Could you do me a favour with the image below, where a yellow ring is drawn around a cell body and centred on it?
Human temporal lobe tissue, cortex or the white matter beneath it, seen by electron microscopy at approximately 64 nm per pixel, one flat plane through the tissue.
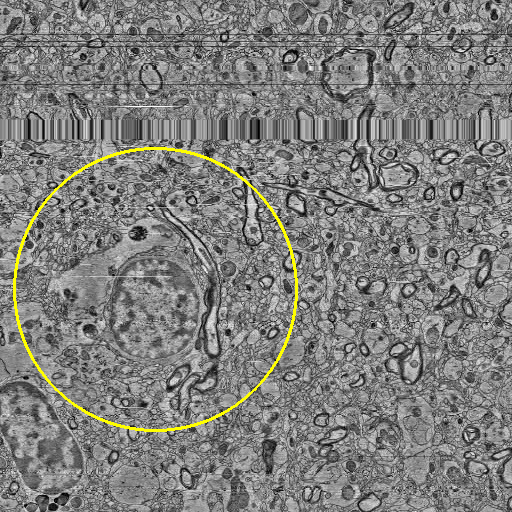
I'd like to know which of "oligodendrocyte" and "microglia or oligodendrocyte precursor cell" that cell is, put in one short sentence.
The cell at the ring's centre is an oligodendrocyte.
